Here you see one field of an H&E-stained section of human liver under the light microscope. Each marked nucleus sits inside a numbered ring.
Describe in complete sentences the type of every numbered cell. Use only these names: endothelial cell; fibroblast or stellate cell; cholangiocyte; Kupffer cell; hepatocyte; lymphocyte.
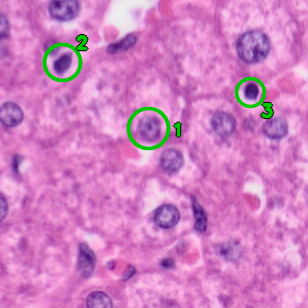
Cell 1 is a hepatocyte, cell 2 is a lymphocyte and cell 3 is a lymphocyte.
